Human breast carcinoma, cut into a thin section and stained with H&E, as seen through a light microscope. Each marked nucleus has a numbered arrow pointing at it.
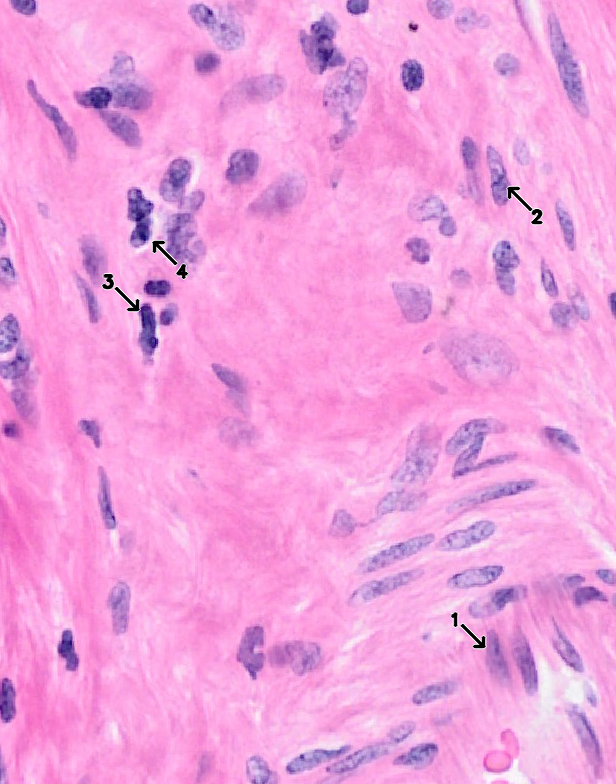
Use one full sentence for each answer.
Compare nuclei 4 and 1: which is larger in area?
Nucleus 1 is larger, with an area about 2 times that of nucleus 4.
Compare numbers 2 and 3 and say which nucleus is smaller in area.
Number 3 is smaller, since number 2 takes up about 3 times as much area.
